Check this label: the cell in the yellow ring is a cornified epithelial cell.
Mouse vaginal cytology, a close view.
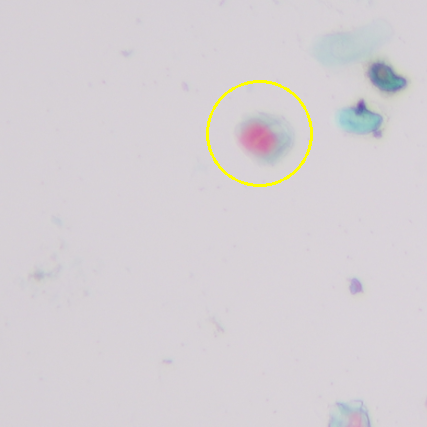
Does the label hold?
The label does not hold; the cell is a nucleated epithelial cell.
